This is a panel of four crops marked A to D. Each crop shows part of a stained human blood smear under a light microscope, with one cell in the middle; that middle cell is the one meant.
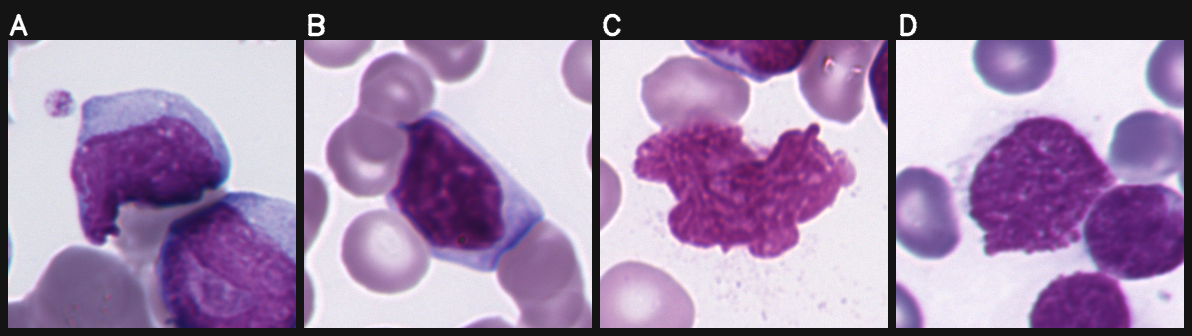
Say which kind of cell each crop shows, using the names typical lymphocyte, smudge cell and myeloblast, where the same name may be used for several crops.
A: myeloblast
B: typical lymphocyte
C: smudge cell
D: smudge cell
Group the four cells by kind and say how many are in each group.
smudge cell: 2
myeloblast: 1
typical lymphocyte: 1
